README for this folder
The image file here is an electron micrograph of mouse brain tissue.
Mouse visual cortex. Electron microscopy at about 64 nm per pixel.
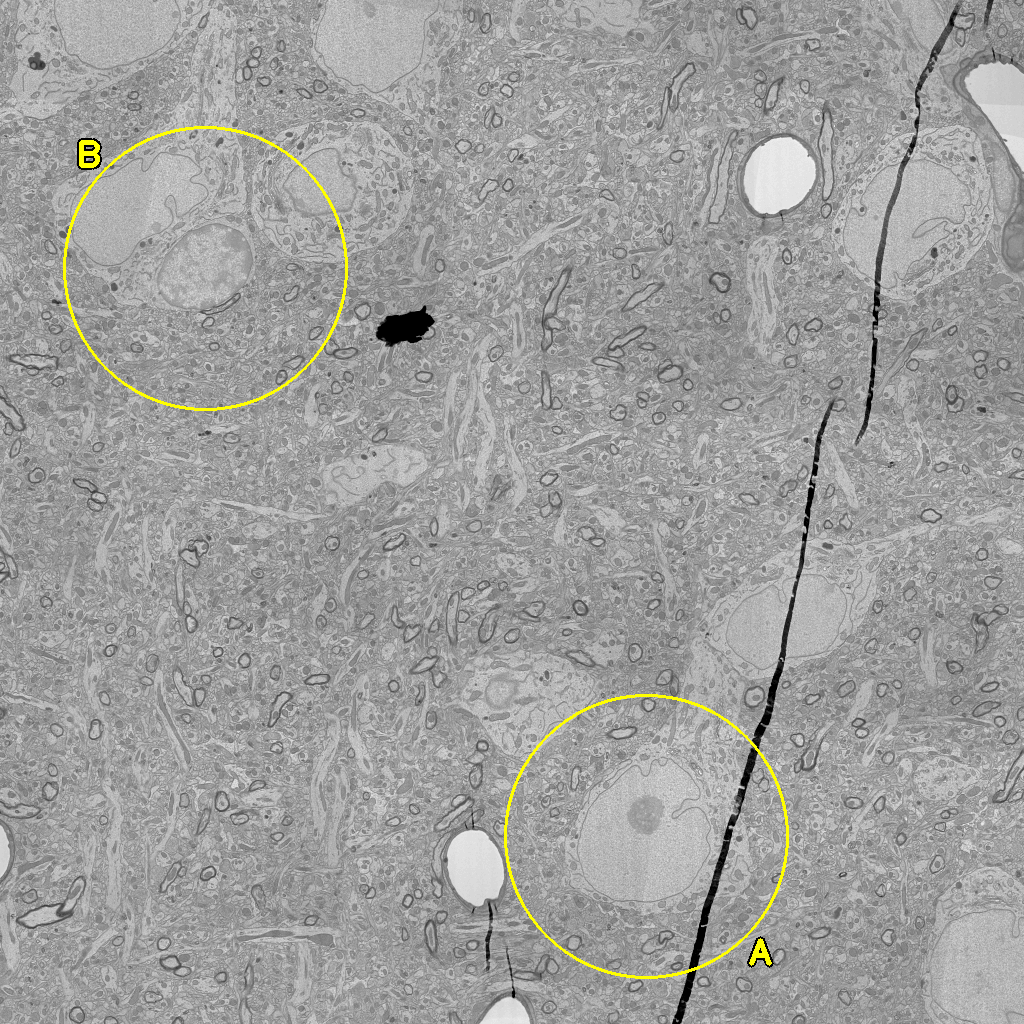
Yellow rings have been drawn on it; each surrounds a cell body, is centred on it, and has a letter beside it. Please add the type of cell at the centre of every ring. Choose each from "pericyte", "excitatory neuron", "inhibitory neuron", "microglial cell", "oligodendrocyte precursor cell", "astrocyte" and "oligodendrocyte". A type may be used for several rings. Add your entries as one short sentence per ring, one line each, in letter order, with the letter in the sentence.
Ring A marks the cell body of an excitatory neuron.
Ring B marks the cell body of an oligodendrocyte.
